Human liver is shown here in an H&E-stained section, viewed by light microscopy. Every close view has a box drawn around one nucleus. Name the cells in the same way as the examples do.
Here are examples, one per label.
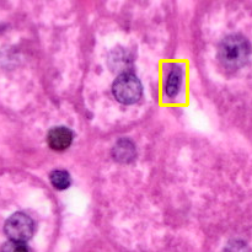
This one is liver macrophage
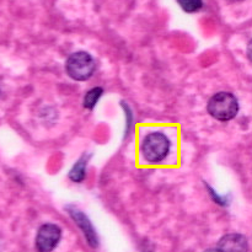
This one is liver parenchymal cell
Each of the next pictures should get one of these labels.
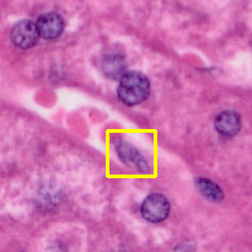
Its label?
liver macrophage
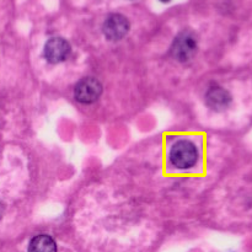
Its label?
liver parenchymal cell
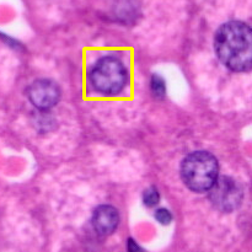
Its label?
liver parenchymal cell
